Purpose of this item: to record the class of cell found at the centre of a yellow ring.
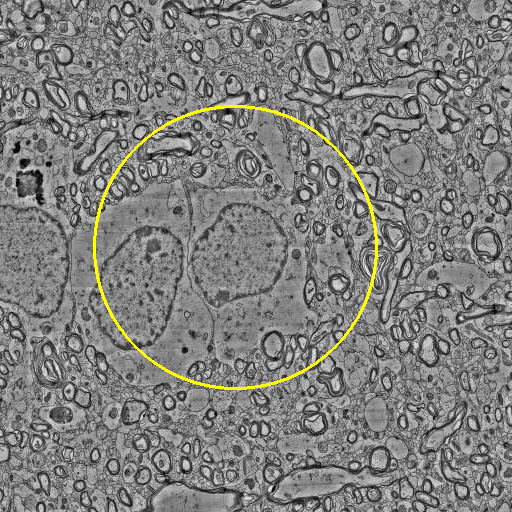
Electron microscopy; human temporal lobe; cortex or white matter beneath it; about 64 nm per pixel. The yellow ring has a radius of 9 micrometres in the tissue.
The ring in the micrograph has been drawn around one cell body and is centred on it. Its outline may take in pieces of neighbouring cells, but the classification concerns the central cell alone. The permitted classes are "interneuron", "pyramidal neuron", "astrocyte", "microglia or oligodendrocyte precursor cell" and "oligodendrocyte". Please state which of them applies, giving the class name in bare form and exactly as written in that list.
astrocyte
